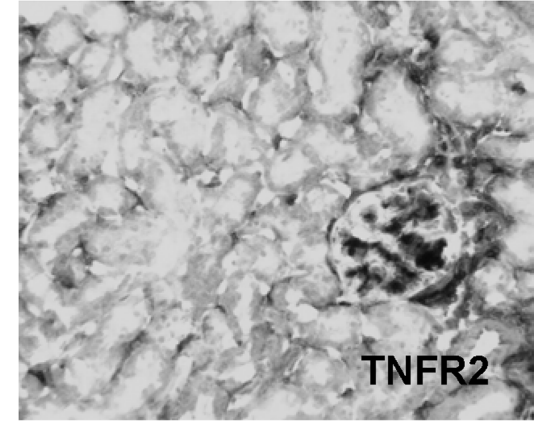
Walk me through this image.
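This field of kidney cortex is filled with pale, rounded tubular profiles. At the lower right a single round, lobulated tuft inside a thin capsule stains dark black. Thin dark lines run between some tubules, but the tubular cells themselves stay light. The darkly stained tuft is a glomerulus, standing out against the pale tubules.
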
